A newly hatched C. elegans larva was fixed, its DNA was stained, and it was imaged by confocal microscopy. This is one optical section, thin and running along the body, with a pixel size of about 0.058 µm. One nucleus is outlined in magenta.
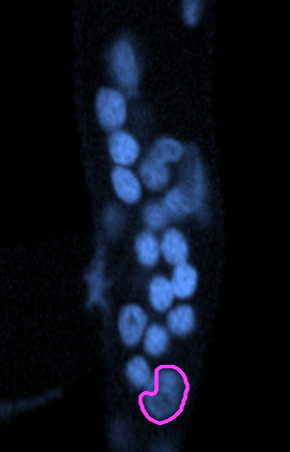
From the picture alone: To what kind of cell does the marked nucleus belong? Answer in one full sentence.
This is the nucleus of a seam cell.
